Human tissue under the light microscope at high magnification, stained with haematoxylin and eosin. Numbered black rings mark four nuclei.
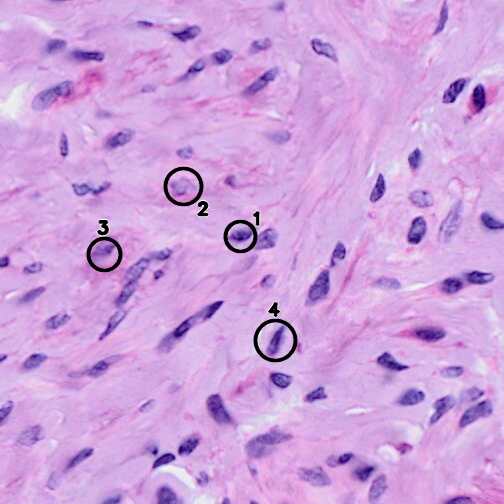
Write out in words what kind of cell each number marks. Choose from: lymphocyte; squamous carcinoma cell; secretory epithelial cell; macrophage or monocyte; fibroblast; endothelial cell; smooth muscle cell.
Cells 1 and 4 are fibroblasts. Cells 2 and 3 are smooth muscle cells.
